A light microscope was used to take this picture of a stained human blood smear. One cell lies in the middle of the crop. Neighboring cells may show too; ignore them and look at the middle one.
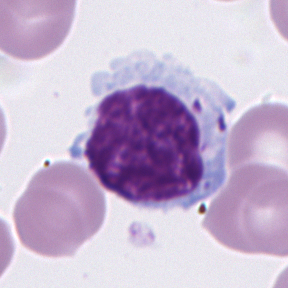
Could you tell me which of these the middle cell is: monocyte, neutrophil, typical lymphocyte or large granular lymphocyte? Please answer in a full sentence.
The cell in the middle of the field of view is a large granular lymphocyte.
